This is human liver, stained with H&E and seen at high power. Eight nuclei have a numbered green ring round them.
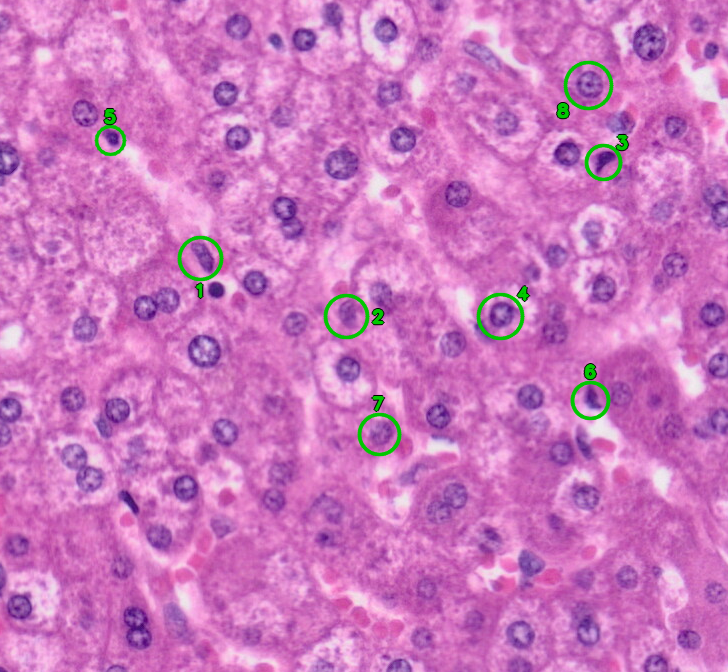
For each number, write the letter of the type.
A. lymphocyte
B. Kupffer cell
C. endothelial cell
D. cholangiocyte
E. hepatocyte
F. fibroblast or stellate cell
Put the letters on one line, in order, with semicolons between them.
B; C; F; E; A; C; E; E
